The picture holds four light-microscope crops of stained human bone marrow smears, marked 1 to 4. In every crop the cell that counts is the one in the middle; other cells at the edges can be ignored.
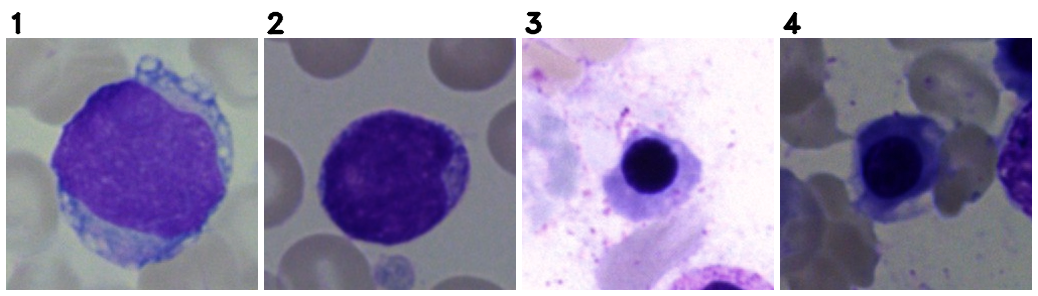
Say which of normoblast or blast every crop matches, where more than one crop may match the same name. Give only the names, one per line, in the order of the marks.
blast
blast
normoblast
normoblast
